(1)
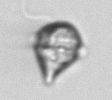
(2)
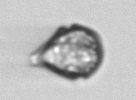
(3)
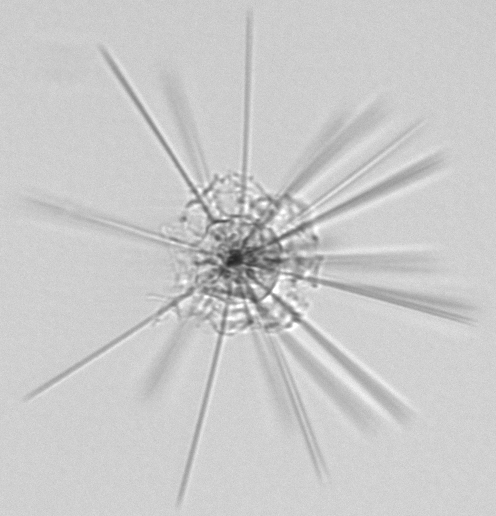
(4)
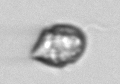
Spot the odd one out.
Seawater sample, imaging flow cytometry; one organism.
Picture 3 (a radiolarian among Scrippsiella).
